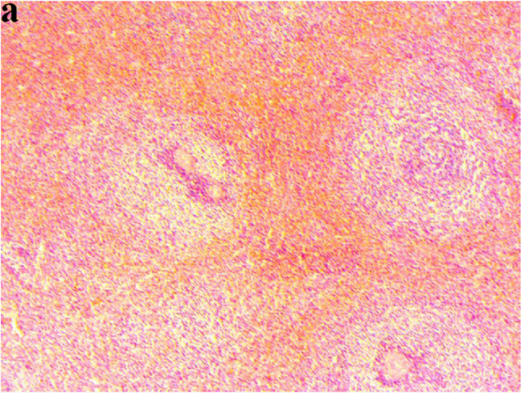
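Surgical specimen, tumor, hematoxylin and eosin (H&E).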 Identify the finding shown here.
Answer: nodular growth pattern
